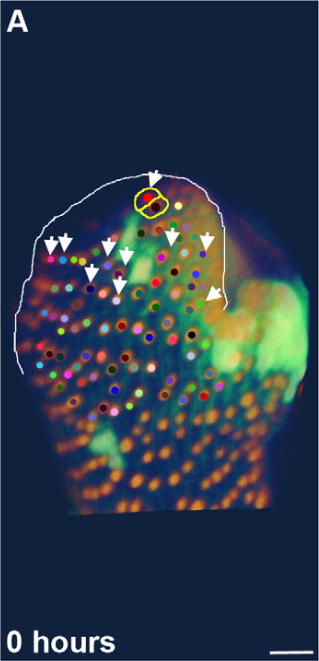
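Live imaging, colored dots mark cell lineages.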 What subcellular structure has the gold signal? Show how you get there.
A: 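Oval gold bodies are spread evenly, one per cell, over the surface. They are of similar small size and regularly spaced.
Conclusion: epidermal nuclei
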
